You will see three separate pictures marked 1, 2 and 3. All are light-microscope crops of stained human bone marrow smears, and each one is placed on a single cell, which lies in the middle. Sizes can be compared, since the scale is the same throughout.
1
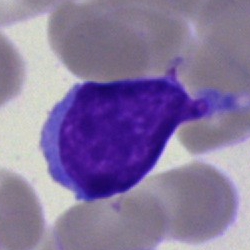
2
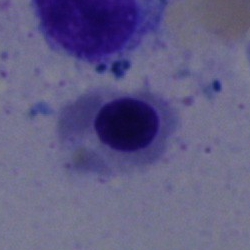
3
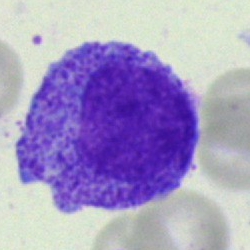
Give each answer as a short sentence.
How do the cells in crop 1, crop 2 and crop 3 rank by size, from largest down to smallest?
Largest first: 3, 1, 2.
